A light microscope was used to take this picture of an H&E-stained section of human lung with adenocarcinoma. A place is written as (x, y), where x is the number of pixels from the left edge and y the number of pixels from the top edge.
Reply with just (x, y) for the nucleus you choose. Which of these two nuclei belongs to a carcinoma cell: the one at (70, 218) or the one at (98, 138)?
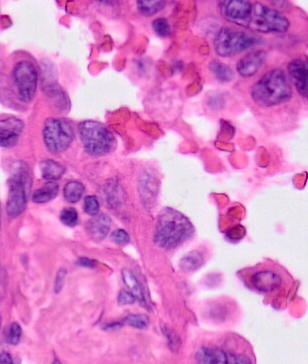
(98, 138)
